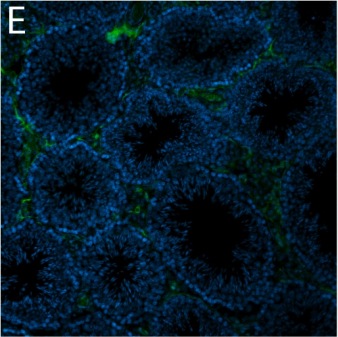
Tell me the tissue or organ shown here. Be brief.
Seminiferous tubules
